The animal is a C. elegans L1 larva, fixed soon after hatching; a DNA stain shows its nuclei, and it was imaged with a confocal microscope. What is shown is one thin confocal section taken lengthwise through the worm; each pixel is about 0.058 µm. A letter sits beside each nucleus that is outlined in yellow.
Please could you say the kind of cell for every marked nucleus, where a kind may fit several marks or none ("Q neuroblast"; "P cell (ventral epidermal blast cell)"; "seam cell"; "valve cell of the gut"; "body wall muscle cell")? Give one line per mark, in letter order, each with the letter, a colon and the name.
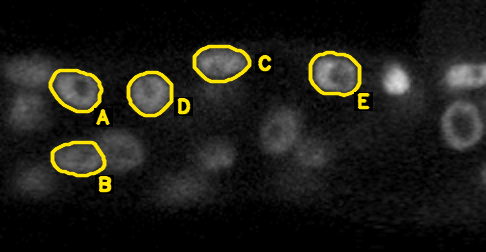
A: seam cell
B: body wall muscle cell
C: P cell (ventral epidermal blast cell)
D: Q neuroblast
E: seam cell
